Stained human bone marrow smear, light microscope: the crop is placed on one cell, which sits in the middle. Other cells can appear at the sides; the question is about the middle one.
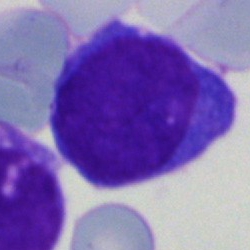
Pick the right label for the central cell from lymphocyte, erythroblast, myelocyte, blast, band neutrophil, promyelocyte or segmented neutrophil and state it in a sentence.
For this crop, the central cell is a blast.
